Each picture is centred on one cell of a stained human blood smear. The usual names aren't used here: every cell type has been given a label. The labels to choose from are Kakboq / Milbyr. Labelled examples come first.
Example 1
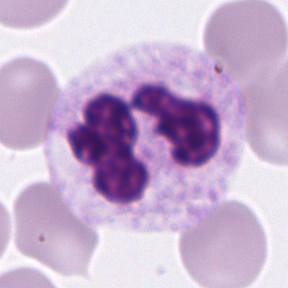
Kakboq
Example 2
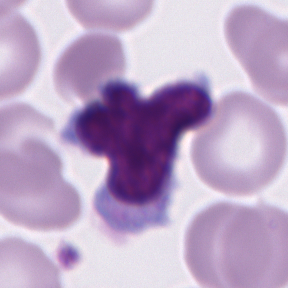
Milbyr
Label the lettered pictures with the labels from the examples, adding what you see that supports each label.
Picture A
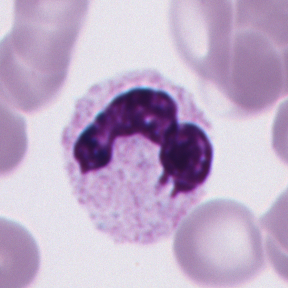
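Kakboq. Reason: The cytoplasm is abundant and pale pinkish-lilac.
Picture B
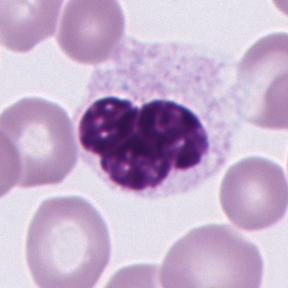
Kakboq. Reason: The cytoplasm is plentiful and very pale lilac.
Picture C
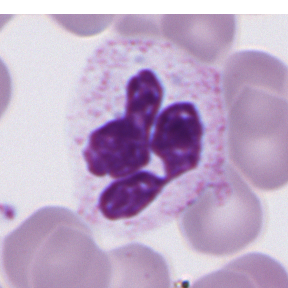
Kakboq. Reason: The cytoplasm is plentiful and very pale.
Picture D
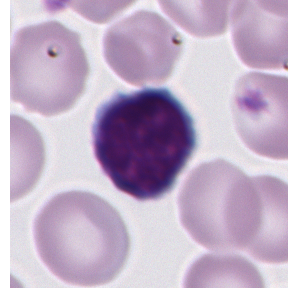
Milbyr. Reason: Cytoplasm shows only as a very thin blue rim at the edge of the nucleus.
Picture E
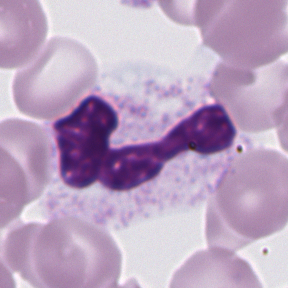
Kakboq. Reason: The nucleus is a single elongated band stretching from left to right across the cell, bulkier at its left end.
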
